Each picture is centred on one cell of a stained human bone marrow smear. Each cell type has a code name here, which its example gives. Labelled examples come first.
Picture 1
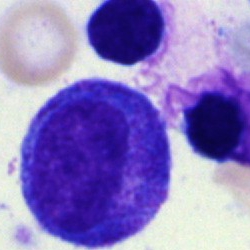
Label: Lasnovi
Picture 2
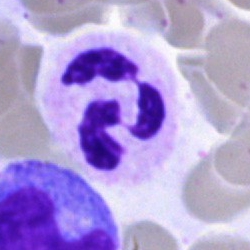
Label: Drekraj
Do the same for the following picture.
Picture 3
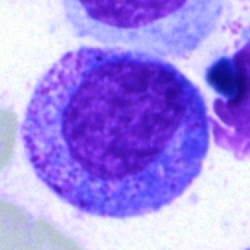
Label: Lasnovi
